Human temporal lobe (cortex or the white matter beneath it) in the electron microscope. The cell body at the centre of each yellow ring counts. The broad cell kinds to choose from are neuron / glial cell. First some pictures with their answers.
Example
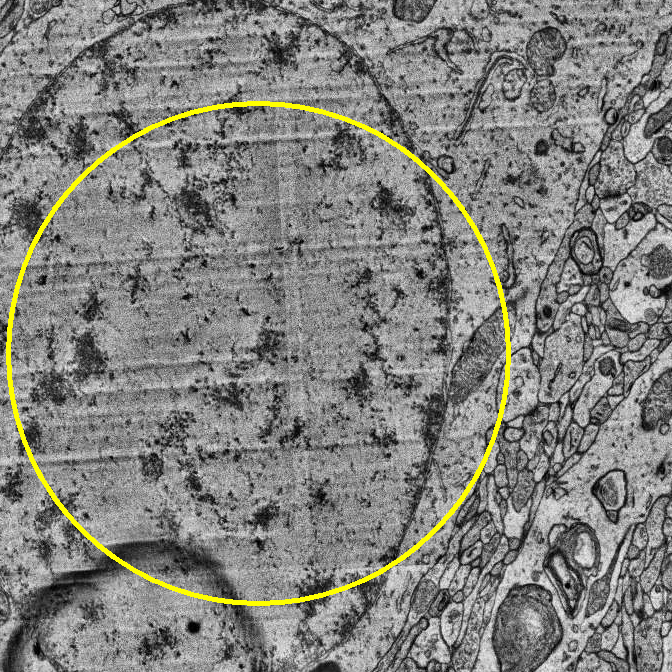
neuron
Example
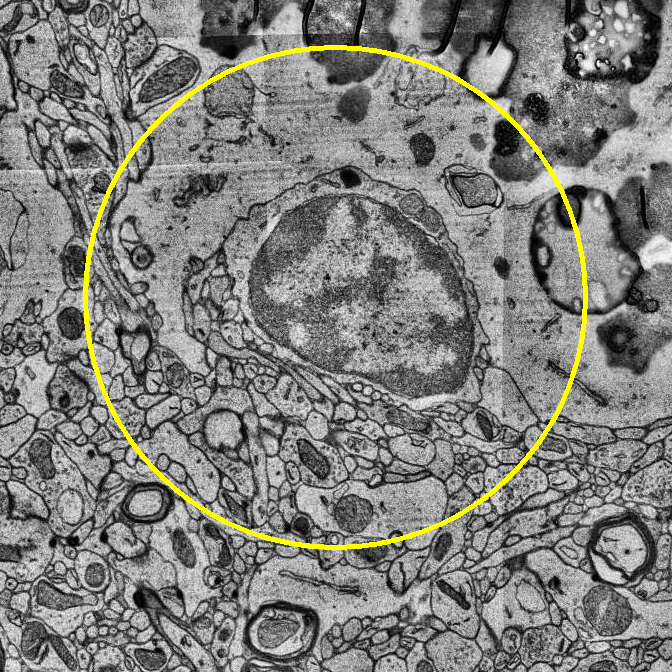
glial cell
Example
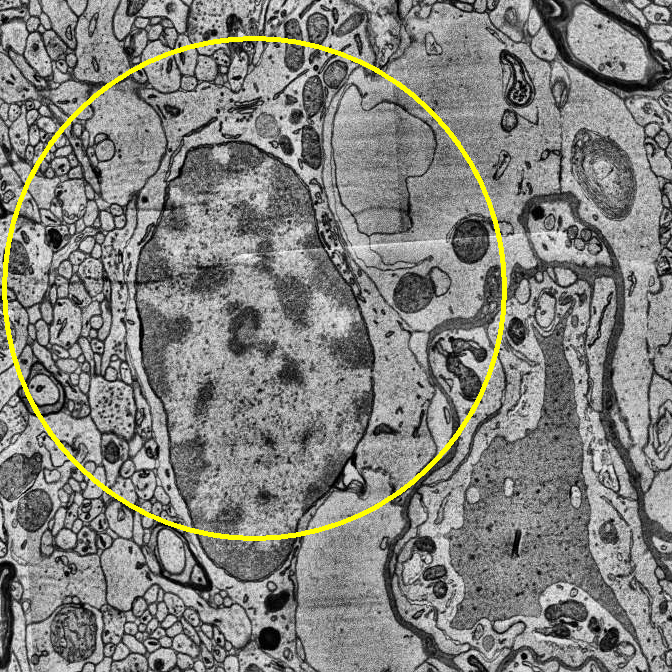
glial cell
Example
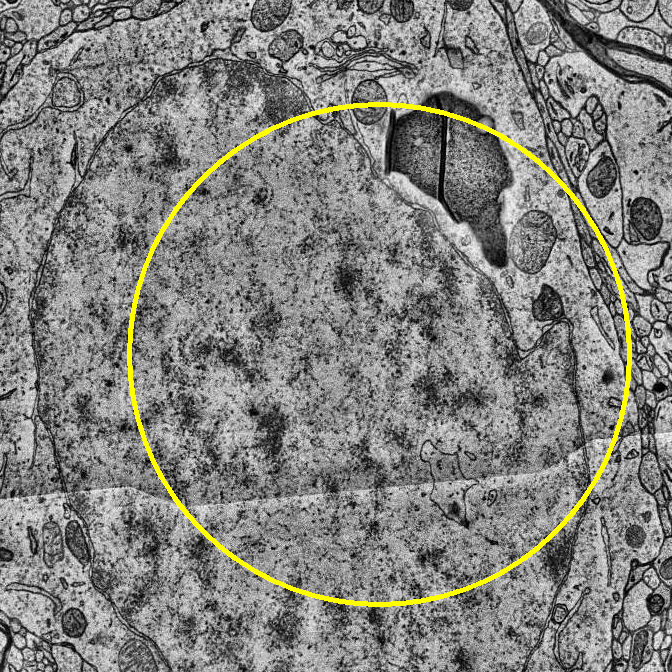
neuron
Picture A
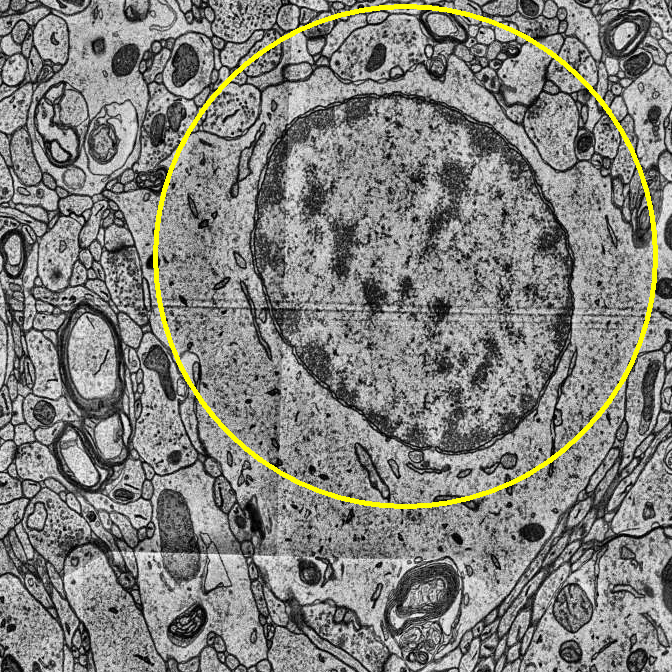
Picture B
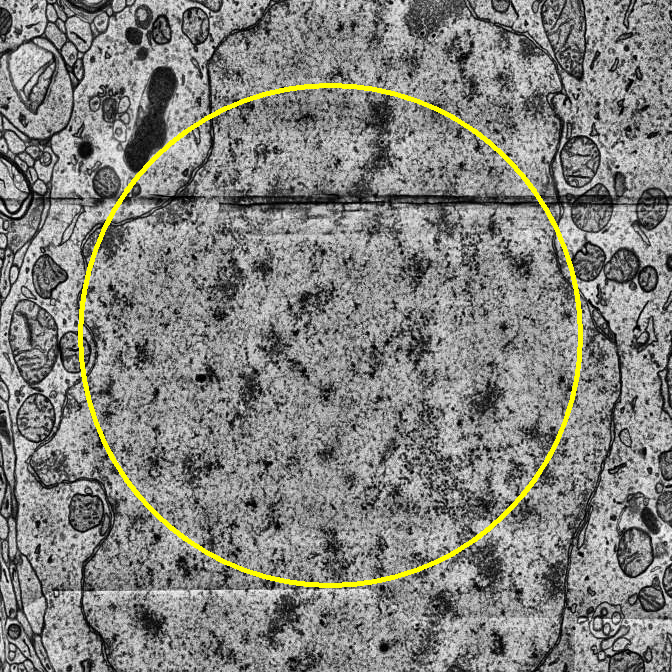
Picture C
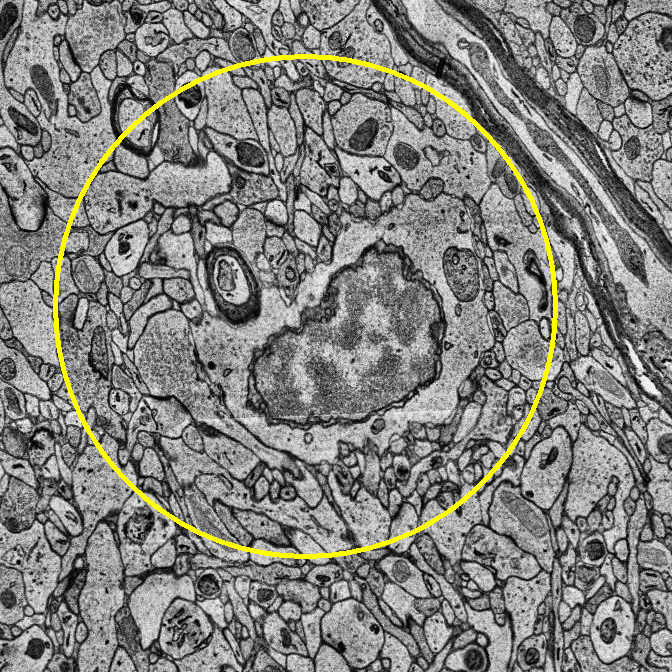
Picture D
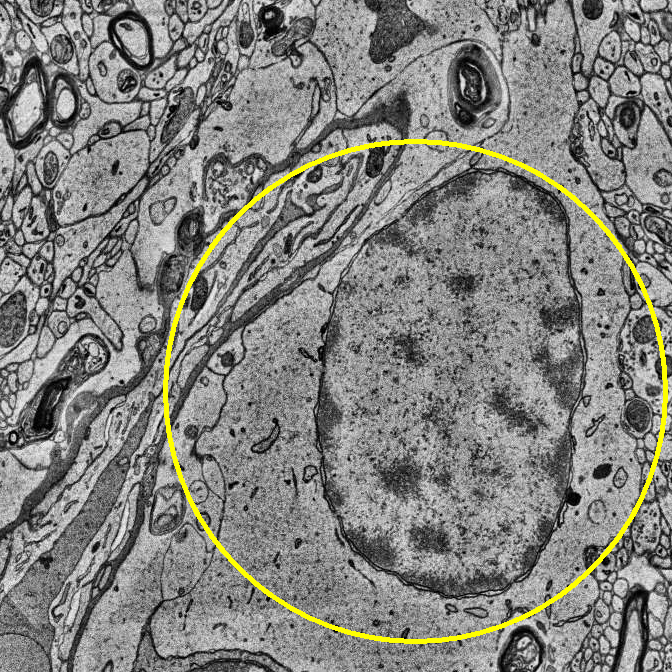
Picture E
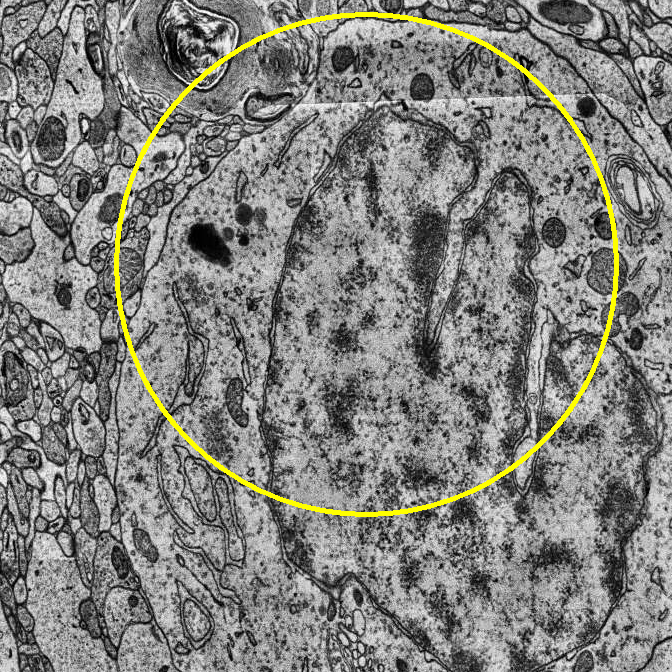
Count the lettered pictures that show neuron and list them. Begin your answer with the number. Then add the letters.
2: B, E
